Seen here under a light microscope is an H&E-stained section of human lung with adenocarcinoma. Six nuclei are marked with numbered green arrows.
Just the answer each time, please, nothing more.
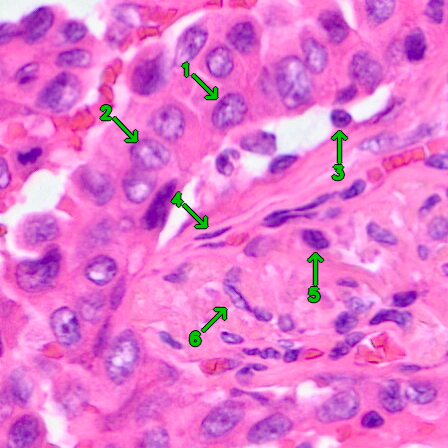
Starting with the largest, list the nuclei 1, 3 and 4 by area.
1, 3, 4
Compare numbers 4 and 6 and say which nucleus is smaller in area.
4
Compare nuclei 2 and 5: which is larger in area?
2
